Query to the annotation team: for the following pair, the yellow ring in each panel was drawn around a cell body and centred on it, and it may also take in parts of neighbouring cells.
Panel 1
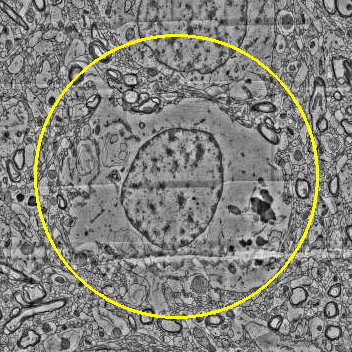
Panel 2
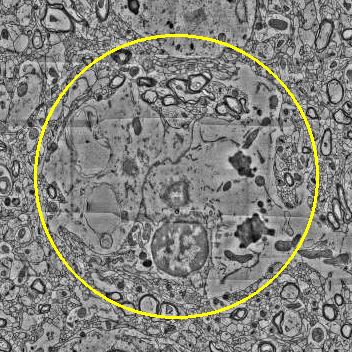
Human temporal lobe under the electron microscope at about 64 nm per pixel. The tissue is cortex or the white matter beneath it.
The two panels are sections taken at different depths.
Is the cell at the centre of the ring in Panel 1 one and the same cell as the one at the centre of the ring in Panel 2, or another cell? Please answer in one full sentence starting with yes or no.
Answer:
Yes, one cell is ringed in yellow twice over.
